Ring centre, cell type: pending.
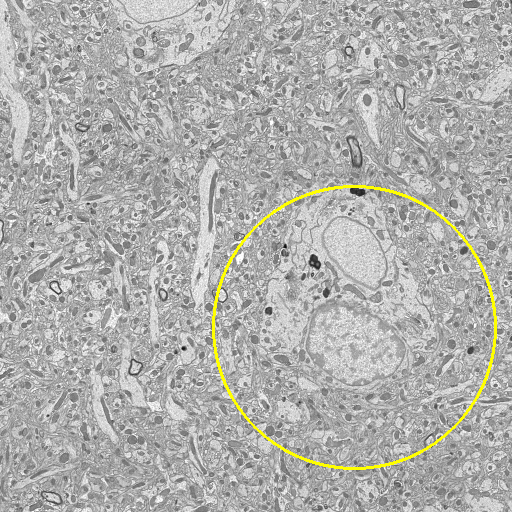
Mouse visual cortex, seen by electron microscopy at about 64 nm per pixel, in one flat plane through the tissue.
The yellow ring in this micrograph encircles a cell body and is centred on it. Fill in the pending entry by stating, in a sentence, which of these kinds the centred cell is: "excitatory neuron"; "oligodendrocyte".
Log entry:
The centred cell is recorded as an oligodendrocyte.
